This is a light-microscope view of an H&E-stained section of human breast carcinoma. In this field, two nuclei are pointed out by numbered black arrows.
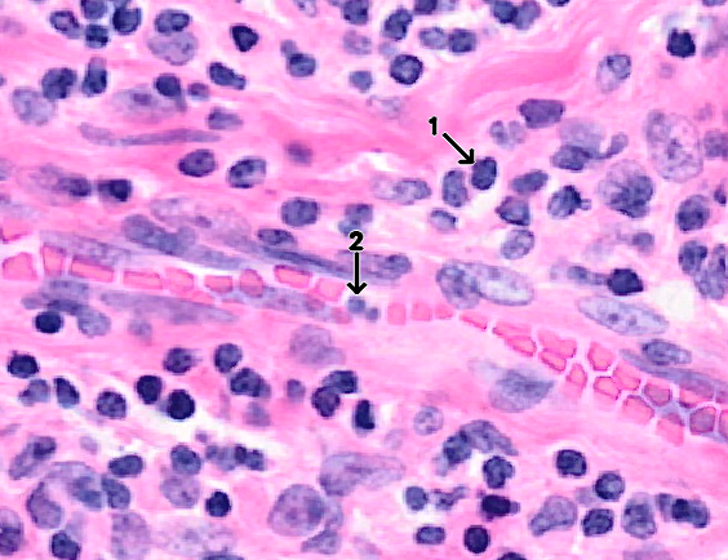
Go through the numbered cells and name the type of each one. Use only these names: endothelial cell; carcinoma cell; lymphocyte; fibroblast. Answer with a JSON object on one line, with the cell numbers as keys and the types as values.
{"1": "lymphocyte", "2": "endothelial cell"}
